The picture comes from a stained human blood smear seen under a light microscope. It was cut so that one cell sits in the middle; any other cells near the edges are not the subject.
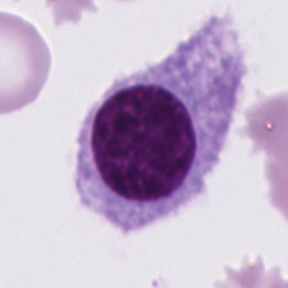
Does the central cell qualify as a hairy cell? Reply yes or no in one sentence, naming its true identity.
Yes, a hairy cell is present in the middle of the crop.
